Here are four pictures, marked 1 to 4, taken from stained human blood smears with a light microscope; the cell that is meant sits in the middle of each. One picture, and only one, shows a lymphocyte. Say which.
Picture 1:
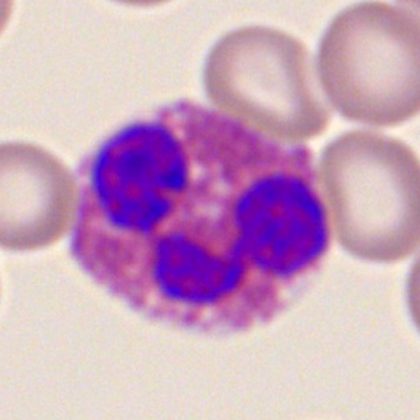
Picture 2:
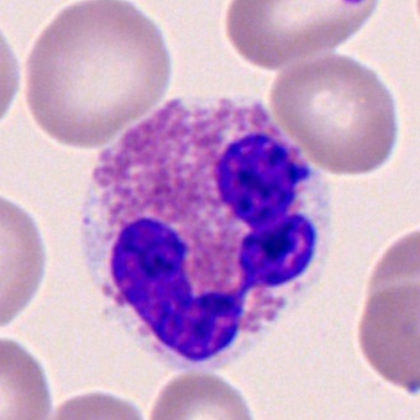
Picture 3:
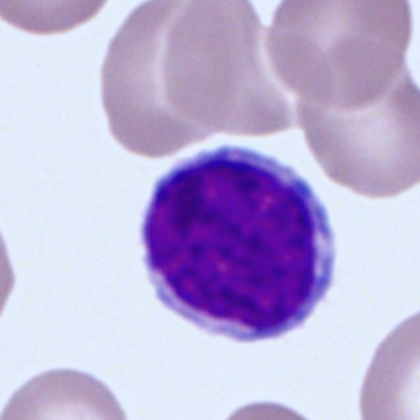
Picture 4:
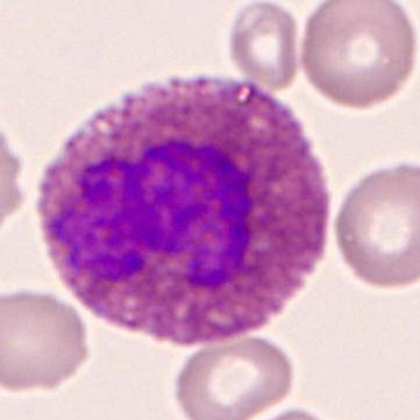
3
